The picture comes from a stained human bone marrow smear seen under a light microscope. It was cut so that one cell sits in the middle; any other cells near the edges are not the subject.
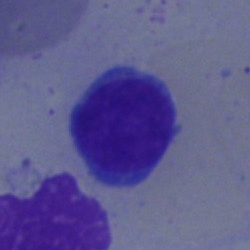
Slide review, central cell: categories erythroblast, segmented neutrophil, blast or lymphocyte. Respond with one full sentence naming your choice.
In the middle of this smear crop, the cell is a lymphocyte.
